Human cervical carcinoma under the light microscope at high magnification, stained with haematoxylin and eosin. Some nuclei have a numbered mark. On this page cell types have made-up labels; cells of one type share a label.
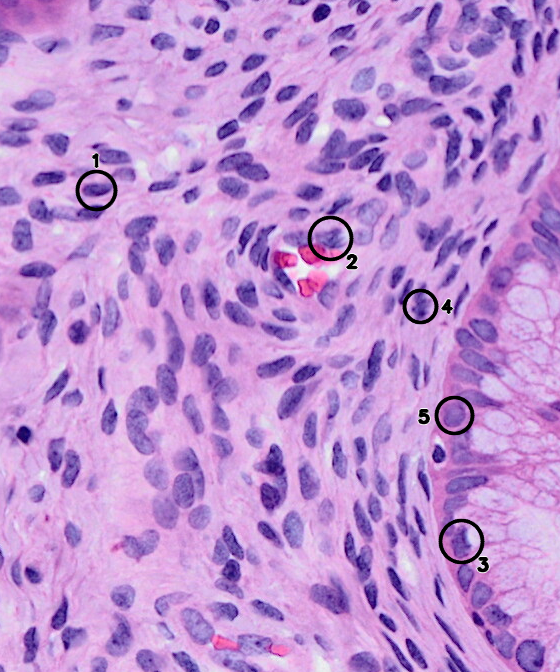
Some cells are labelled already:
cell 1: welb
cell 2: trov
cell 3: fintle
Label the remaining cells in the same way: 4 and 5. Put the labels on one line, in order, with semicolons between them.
welb; fintle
